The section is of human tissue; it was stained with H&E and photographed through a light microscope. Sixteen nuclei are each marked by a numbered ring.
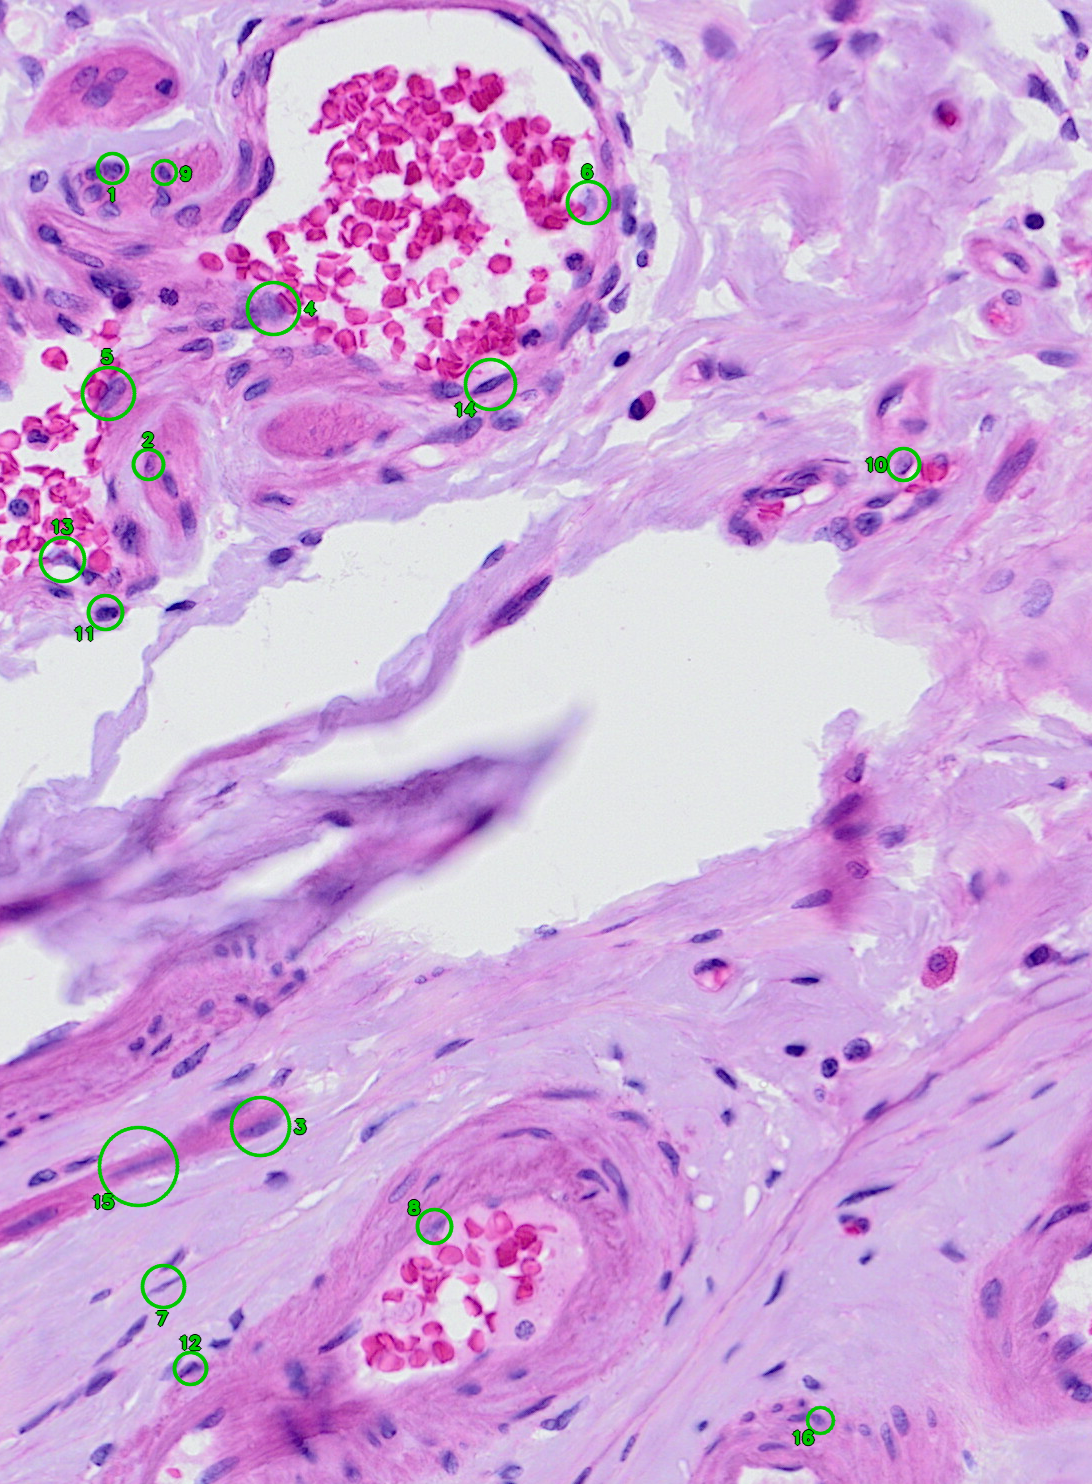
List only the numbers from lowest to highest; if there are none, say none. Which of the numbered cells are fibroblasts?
7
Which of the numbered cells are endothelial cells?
4, 5, 6, 8, 10, 13, 14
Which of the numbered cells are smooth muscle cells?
1, 2, 3, 9, 12, 15, 16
